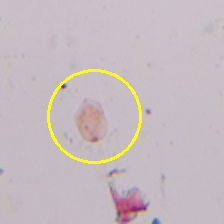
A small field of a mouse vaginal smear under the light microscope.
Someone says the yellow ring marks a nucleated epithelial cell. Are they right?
They are not: the ring marks a cornified epithelial cell.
